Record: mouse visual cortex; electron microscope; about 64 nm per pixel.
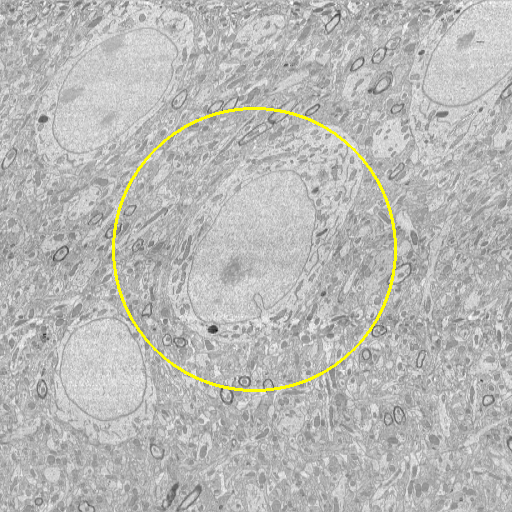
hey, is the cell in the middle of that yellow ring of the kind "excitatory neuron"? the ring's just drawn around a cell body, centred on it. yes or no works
no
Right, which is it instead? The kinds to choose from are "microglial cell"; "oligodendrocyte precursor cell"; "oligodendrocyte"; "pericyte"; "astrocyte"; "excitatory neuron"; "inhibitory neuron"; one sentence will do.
The ring holds an inhibitory neuron at its centre.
